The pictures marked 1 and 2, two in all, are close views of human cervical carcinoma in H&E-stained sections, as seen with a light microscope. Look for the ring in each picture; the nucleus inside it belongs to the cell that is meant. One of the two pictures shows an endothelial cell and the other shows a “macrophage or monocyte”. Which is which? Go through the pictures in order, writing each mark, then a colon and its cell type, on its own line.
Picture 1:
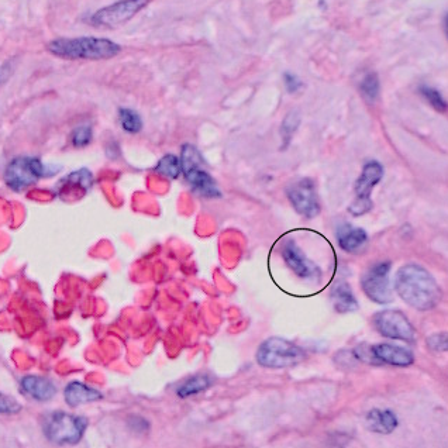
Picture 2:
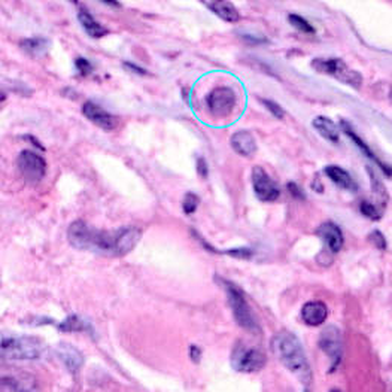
1: endothelial cell
2: macrophage or monocyte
